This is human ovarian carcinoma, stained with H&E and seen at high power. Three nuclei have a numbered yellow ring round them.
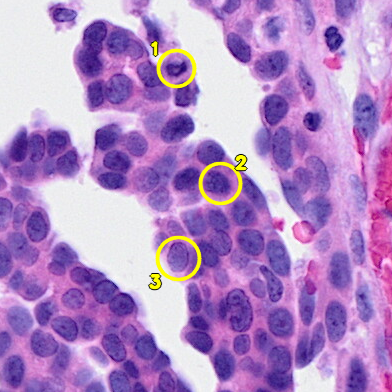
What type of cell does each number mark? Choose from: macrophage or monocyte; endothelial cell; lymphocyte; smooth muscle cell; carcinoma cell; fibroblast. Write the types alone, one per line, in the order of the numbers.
macrophage or monocyte
carcinoma cell
carcinoma cell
